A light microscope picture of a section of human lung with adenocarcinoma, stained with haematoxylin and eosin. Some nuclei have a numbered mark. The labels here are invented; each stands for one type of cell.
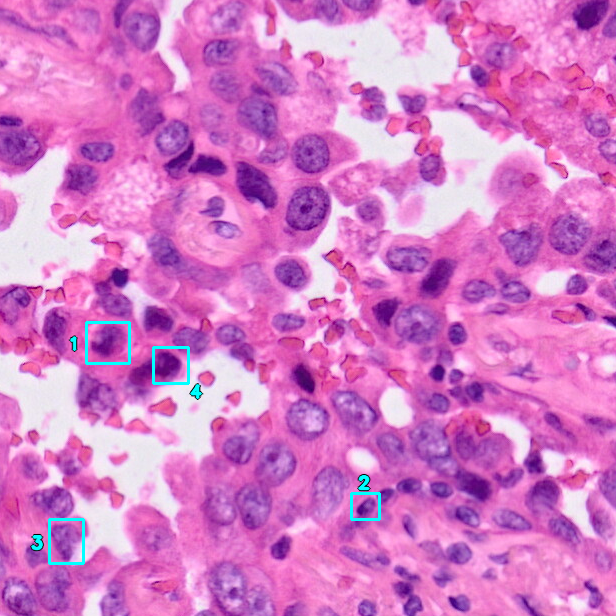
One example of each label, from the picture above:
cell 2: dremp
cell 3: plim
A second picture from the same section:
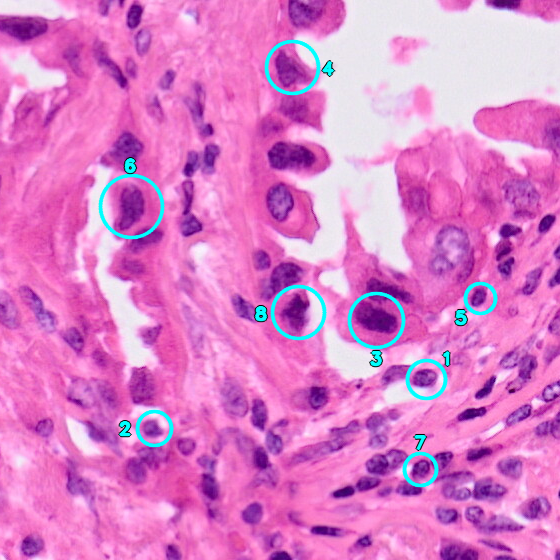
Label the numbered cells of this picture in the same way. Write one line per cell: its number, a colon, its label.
1: dremp
2: dremp
3: plim
4: plim
5: dremp
6: plim
7: dremp
8: plim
